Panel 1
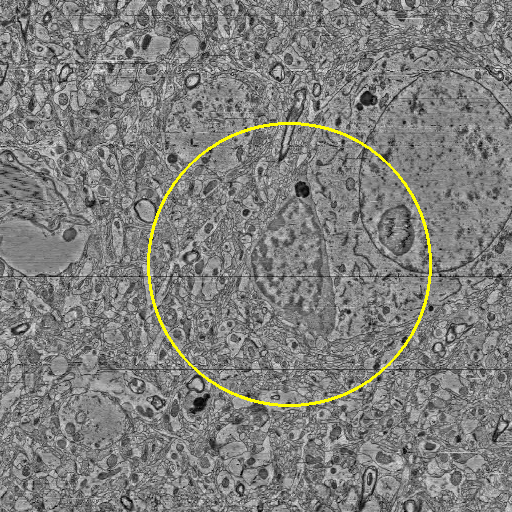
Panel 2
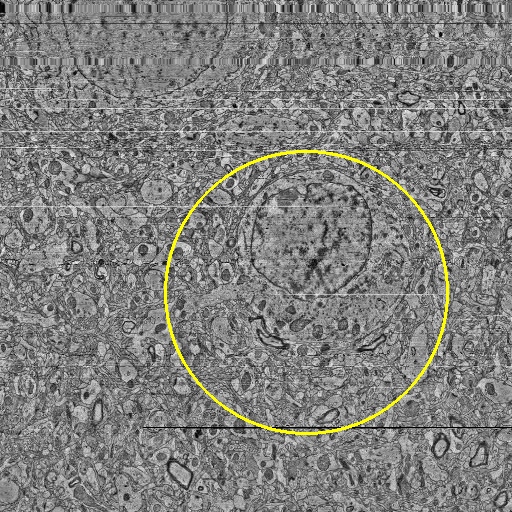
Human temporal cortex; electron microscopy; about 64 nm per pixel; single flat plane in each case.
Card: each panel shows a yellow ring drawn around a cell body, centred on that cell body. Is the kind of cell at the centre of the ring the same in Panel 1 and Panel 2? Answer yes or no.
no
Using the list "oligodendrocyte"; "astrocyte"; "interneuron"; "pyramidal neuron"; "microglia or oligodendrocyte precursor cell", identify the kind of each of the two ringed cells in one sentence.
The first is an oligodendrocyte and the second is a pyramidal neuron.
